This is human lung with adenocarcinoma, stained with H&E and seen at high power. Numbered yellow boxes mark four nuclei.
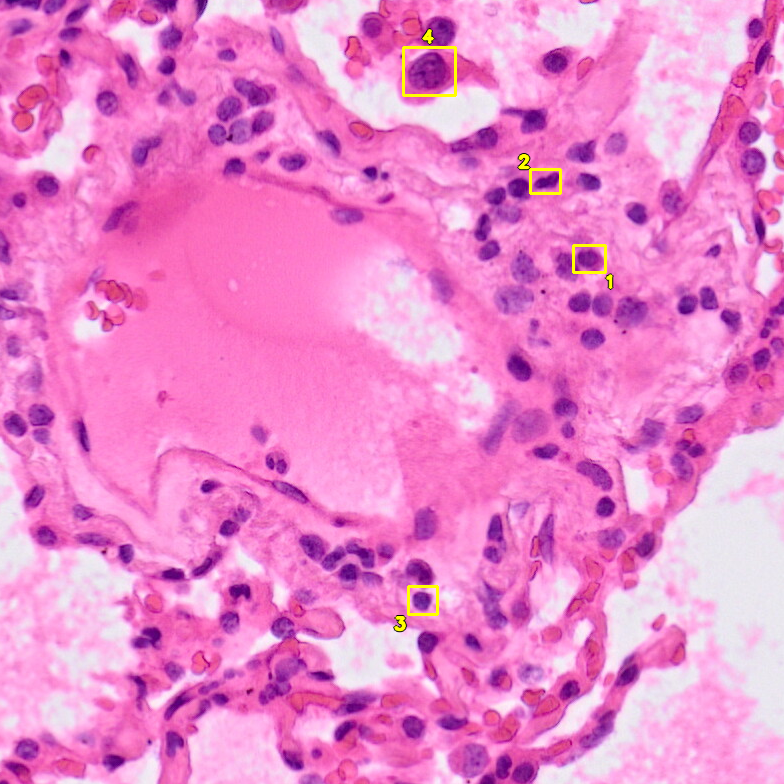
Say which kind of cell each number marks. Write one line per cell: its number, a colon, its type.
1: plasma cell
2: lymphocyte
3: lymphocyte
4: carcinoma cell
